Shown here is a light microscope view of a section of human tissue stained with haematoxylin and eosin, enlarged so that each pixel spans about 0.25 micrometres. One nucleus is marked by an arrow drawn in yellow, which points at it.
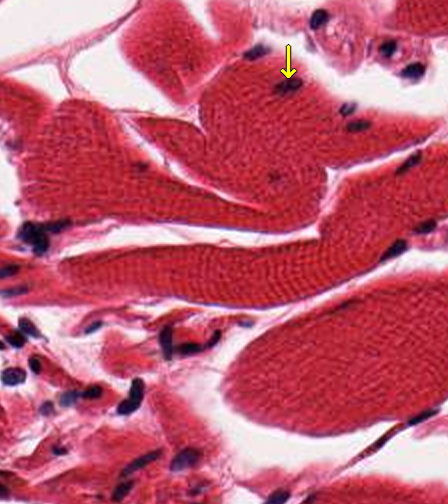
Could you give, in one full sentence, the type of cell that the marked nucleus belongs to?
The marked nucleus is that of a skeletal muscle fibre.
